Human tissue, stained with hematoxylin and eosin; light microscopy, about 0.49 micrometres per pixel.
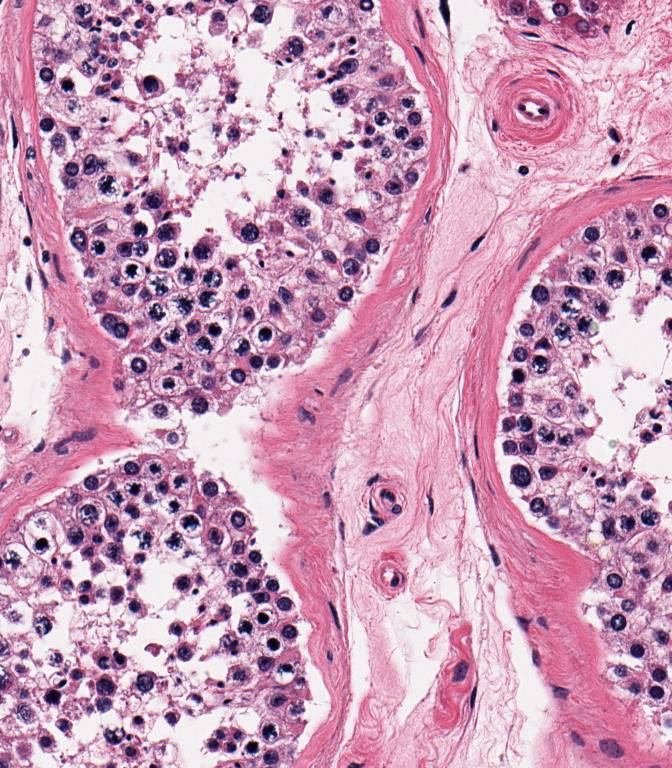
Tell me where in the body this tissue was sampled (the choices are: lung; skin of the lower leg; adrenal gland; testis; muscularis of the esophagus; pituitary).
testis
